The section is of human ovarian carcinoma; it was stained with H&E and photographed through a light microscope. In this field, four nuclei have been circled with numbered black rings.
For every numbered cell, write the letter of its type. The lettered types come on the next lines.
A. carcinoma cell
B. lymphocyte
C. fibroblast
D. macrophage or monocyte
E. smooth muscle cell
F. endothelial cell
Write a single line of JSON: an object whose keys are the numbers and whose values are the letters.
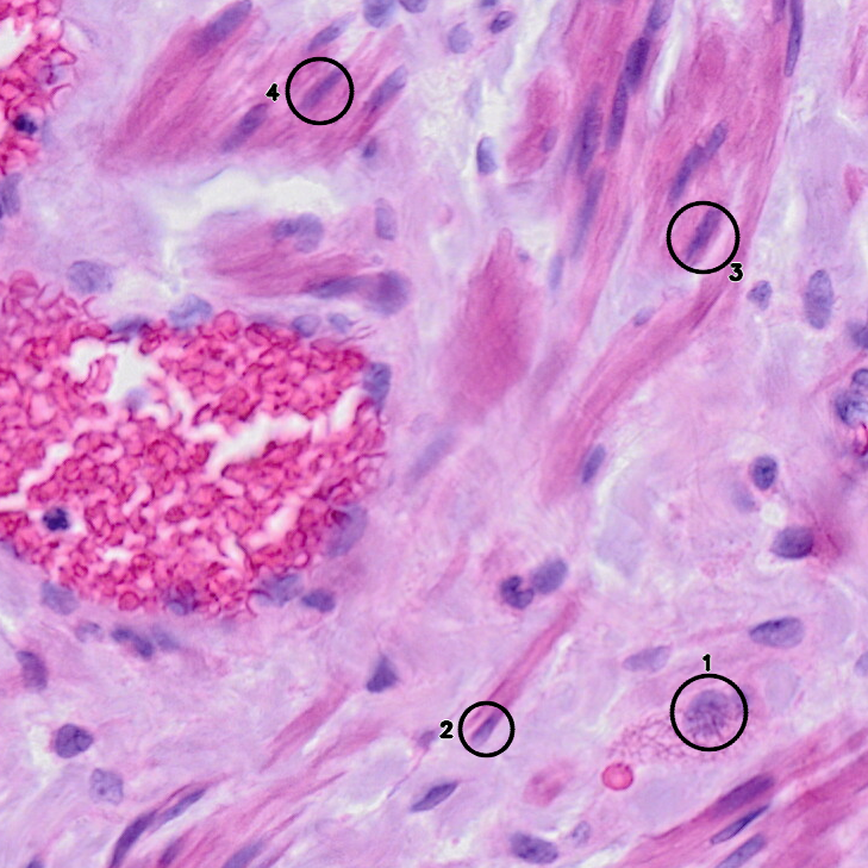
{"1": "F", "2": "E", "3": "E", "4": "E"}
